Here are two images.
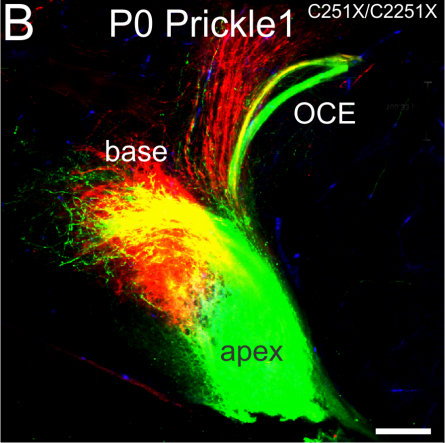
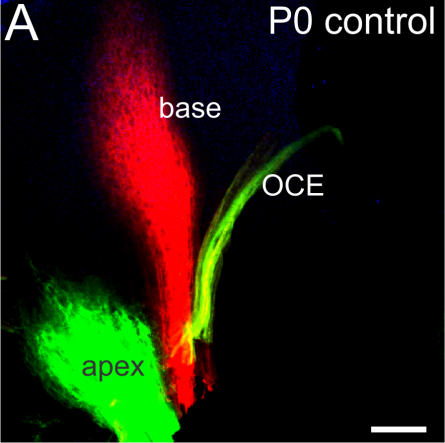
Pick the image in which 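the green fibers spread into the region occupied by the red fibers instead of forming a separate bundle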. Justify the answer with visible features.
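The first image. First image: green fibers overlap broadly with red fibers, producing a large yellow area. Second image: the green fiber field and the red fiber field lie side by side with little overlap.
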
